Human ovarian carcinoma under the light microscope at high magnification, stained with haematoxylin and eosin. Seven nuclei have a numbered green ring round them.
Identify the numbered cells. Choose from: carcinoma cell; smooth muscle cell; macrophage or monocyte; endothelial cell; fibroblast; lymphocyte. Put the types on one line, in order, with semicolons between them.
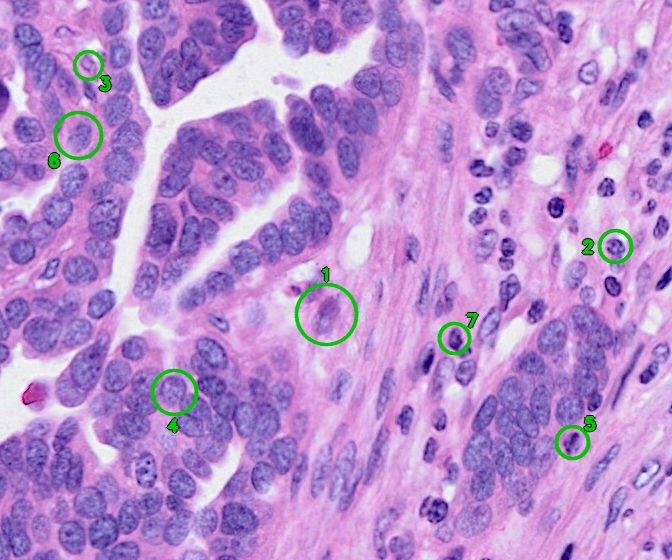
fibroblast; lymphocyte; fibroblast; carcinoma cell; lymphocyte; carcinoma cell; lymphocyte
